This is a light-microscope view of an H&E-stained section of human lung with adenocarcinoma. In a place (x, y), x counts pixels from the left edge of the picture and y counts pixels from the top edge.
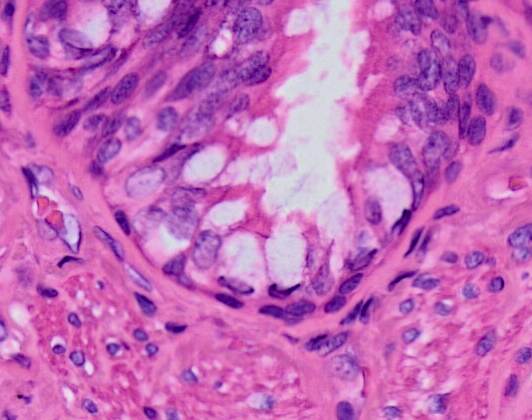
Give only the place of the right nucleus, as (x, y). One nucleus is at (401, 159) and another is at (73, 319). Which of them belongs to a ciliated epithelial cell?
(401, 159)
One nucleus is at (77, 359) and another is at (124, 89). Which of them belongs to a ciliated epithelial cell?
(124, 89)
